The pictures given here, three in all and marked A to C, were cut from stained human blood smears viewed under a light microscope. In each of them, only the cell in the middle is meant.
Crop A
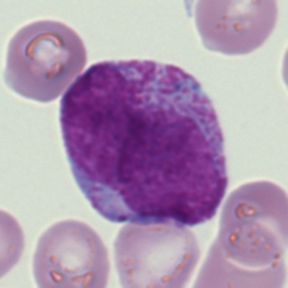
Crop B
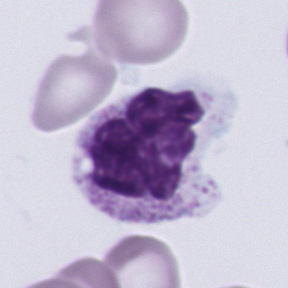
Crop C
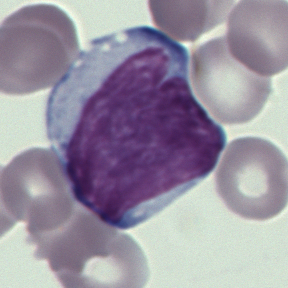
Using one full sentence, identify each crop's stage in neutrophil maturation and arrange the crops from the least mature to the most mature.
The maturity sequence, least mature to most mature, is crop C (a myeloblast), crop A (a promyelocyte) and crop B (a segmented neutrophil).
